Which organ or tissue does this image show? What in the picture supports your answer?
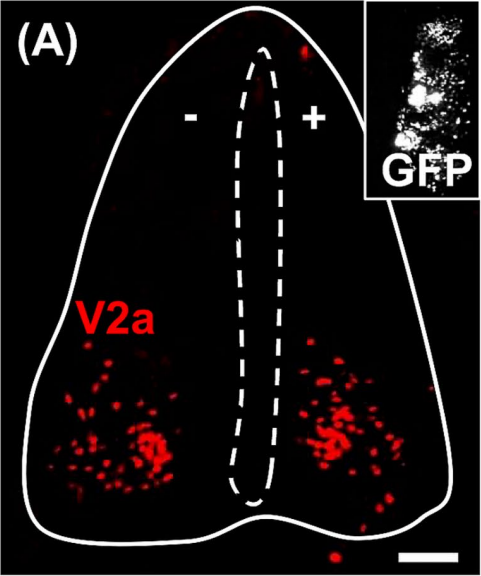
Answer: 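Spinal cord. A bilaterally symmetric section, drawn with a solid outline, that is wider ventrally than dorsally. A narrow, elongated midline lumen is outlined by a dashed line.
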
